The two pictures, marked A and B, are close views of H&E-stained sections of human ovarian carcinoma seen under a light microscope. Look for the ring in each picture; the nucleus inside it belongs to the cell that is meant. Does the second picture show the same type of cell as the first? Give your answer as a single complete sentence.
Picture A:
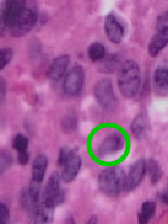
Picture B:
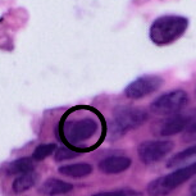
Yes, the two pictures both show carcinoma cells.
